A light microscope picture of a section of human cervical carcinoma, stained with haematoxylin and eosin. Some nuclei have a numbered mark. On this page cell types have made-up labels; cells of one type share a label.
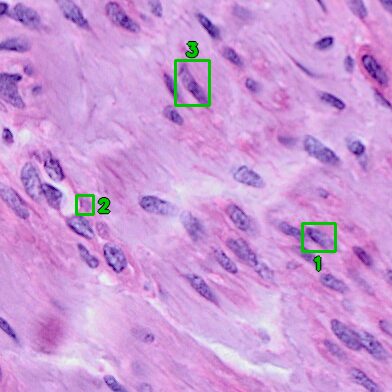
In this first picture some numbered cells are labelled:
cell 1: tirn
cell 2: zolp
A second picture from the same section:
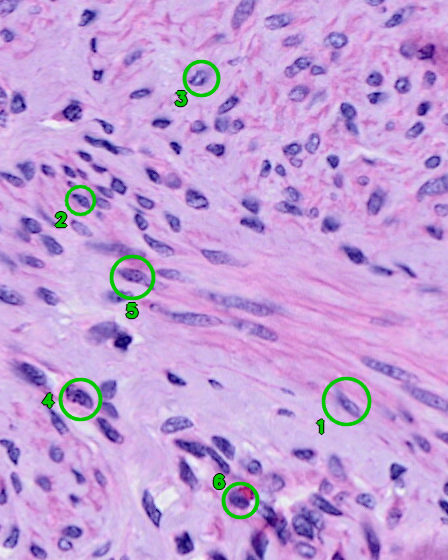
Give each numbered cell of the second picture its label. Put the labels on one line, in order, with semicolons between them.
tirn; tirn; tirn; zolp; tirn; zolp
